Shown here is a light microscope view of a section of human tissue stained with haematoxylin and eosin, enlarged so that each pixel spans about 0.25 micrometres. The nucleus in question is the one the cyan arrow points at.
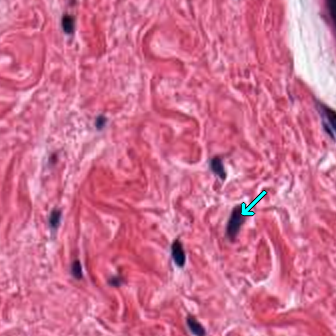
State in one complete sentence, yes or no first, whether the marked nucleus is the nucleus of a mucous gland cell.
No, rather than to a mucous gland cell, the marked nucleus belongs to a supporting cell.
